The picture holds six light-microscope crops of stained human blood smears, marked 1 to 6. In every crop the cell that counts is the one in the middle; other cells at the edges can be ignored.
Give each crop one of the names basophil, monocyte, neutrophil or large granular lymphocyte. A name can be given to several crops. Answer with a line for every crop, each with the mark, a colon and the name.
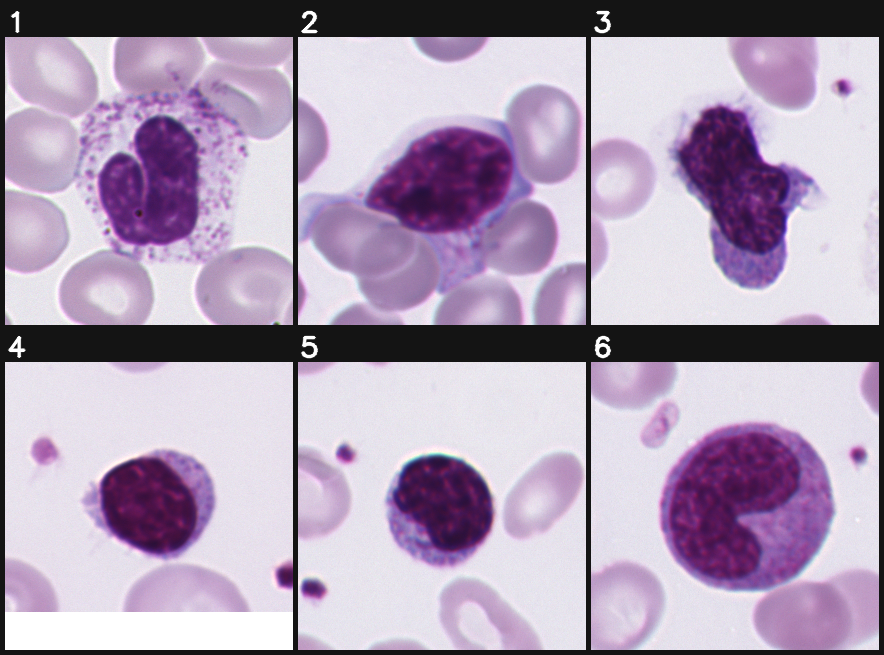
1: neutrophil
2: large granular lymphocyte
3: monocyte
4: large granular lymphocyte
5: large granular lymphocyte
6: monocyte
